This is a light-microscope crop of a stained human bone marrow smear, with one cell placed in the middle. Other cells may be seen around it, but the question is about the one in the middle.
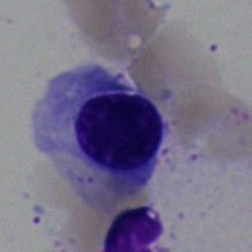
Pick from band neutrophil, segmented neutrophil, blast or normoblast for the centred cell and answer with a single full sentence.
The cell in the exact centre of the crop is a normoblast.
